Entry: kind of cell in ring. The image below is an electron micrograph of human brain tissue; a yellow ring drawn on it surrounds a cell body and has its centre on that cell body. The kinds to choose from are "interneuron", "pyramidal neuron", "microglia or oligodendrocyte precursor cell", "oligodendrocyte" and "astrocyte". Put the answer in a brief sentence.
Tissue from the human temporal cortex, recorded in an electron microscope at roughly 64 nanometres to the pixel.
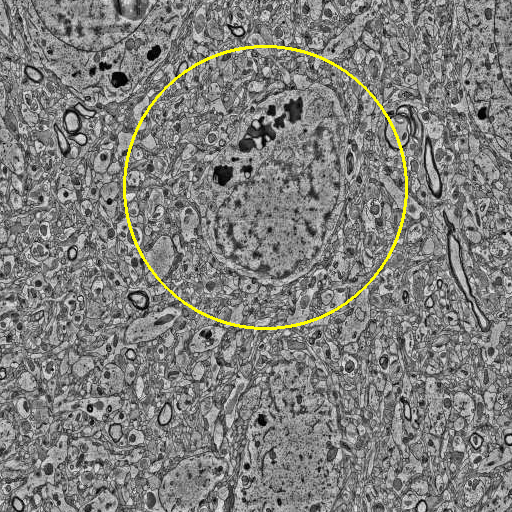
The ring has been drawn around an interneuron.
